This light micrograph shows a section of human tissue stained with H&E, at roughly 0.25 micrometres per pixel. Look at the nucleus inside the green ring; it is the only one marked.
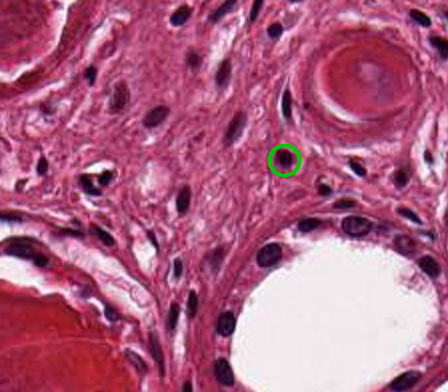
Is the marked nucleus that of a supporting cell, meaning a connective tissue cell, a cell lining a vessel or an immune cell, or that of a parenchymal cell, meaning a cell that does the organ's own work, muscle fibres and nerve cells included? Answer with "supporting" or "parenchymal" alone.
supporting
